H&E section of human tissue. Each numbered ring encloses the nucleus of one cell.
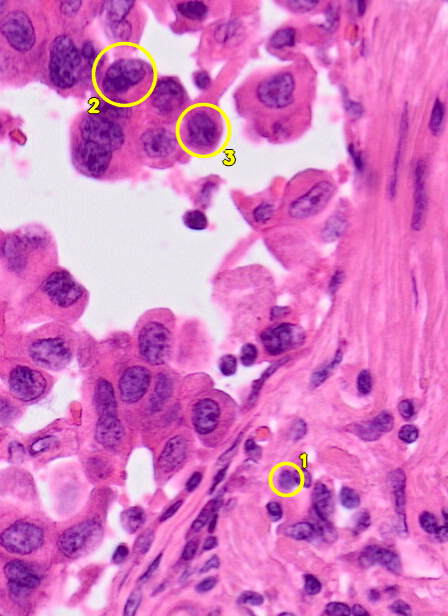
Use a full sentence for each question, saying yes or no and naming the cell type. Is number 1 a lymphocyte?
Yes, the cell that goes by number 1 is a lymphocyte.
